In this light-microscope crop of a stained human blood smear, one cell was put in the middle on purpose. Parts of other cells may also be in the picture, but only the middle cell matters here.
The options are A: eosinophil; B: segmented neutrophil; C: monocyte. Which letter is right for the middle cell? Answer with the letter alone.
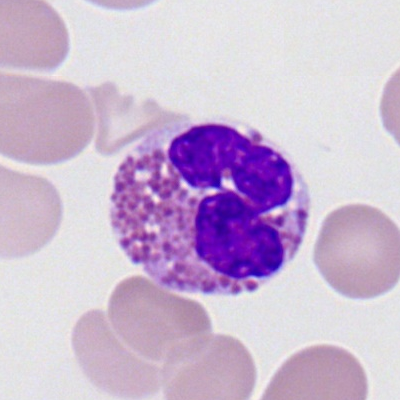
A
